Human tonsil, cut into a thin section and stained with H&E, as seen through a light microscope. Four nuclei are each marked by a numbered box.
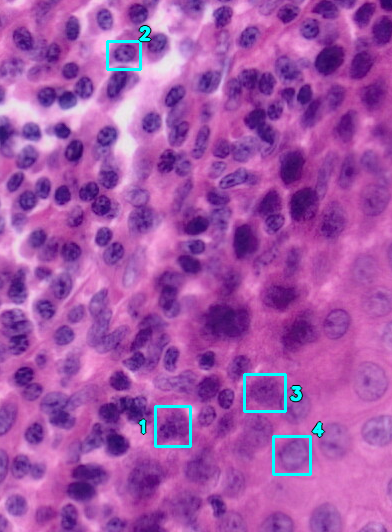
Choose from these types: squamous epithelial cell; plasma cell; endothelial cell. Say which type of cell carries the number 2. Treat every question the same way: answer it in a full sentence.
The correct answer for cell 2 is a plasma cell.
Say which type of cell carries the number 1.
Cell 1 in the field of view is a squamous epithelial cell.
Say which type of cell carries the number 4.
The nucleus labelled 4 belongs to a squamous epithelial cell.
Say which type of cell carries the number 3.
The cell with the number 3 is a squamous epithelial cell.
